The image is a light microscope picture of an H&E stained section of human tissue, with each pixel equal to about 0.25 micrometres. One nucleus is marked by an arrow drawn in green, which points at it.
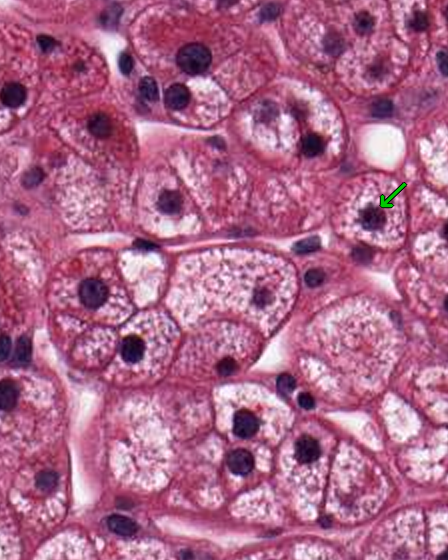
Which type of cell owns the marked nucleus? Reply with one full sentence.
Located in an adrenal cortical cell is the marked nucleus.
